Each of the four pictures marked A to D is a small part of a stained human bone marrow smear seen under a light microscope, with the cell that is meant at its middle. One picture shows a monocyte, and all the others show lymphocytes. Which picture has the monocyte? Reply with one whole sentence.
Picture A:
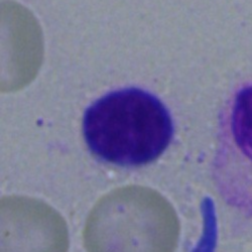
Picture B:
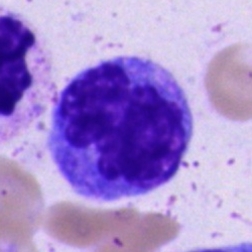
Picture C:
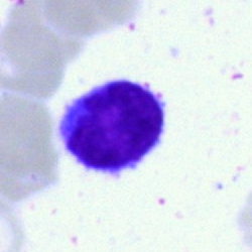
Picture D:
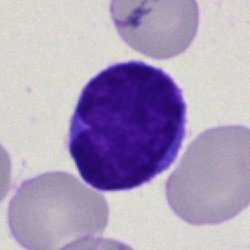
Picture B is the one that shows the monocyte.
